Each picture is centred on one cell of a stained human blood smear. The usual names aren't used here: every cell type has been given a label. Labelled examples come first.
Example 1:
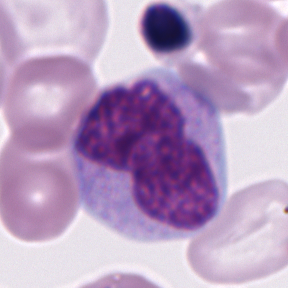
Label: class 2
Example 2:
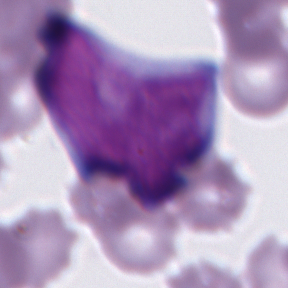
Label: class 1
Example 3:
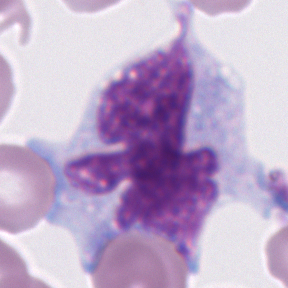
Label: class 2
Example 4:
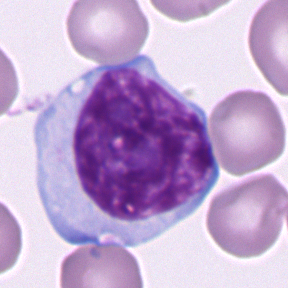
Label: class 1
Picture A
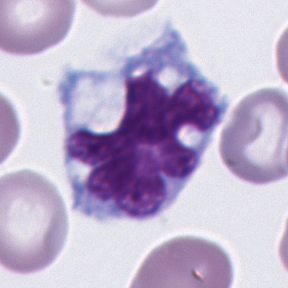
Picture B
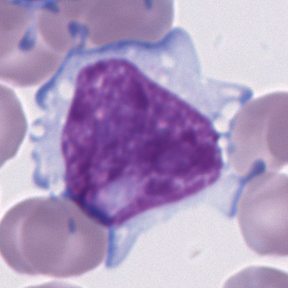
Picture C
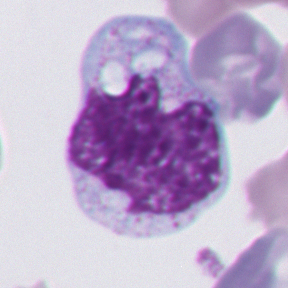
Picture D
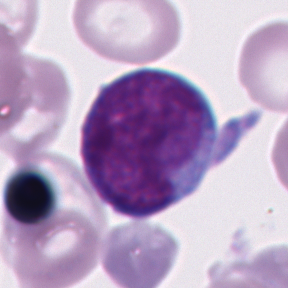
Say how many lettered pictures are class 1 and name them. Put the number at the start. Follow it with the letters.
Count: 2 (B, D)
